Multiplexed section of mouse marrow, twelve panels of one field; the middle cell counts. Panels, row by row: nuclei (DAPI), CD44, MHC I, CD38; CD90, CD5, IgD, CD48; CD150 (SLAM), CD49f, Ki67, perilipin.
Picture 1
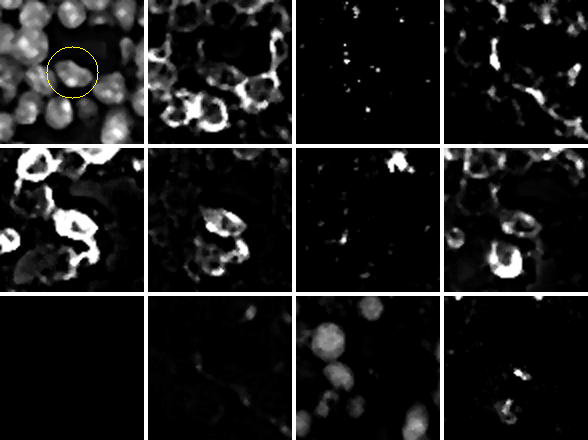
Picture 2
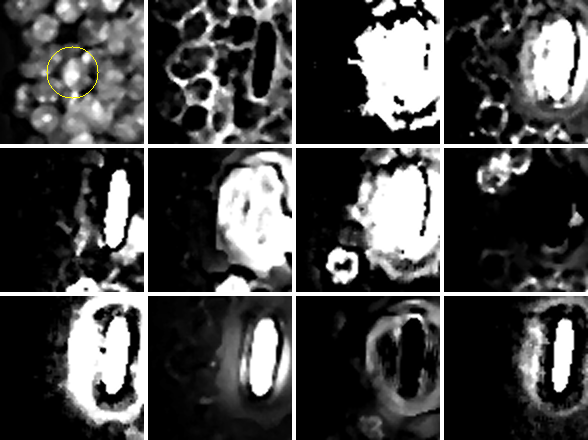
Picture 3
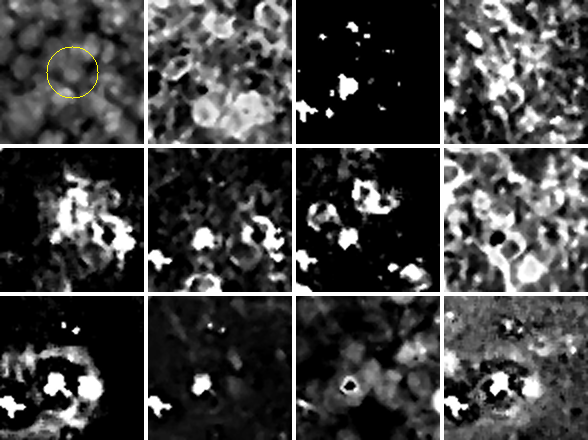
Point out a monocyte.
That is picture 3.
